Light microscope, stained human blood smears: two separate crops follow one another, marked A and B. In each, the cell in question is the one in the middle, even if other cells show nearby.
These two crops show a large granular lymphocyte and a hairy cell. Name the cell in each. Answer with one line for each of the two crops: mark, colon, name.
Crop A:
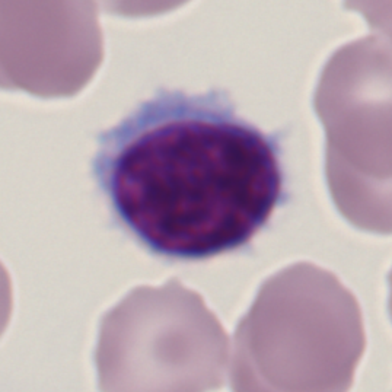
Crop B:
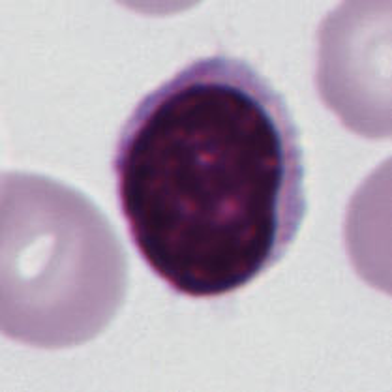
A: hairy cell
B: large granular lymphocyte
